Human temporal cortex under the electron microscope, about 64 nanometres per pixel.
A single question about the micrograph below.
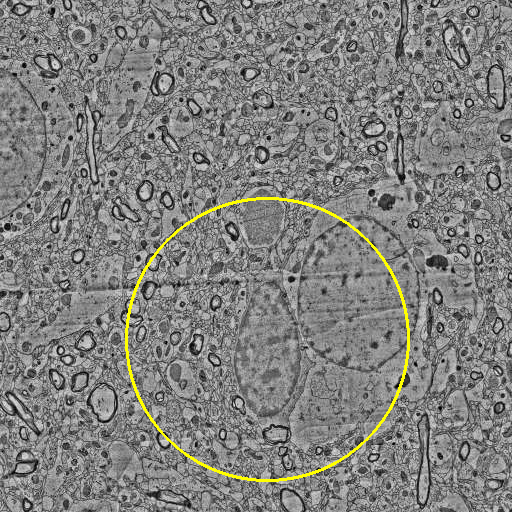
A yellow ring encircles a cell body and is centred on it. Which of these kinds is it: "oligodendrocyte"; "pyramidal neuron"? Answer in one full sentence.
The cell body at the centre of the yellow ring belongs to an oligodendrocyte.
